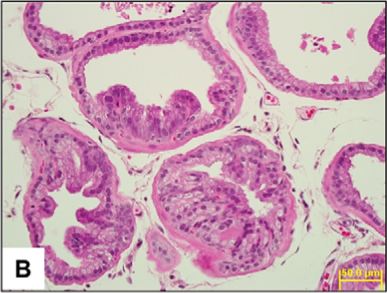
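Prostate glands lined by columnar epithelial cells with basal to mid-level purple nuclei and pale pink cytoplasm. In several glands the lining rises into papillary folds that project into the lumen, and nuclei crowd and overlap in parts, so the lumina become star-shaped or narrowed. Other glands keep a simpler, single-layered lining around an open lumen with scattered pale secretion. Thin strands of loose connective tissue with small vessels separate the glands. The localized folding and crowding of the epithelium, less extensive than a full filling of the lumen, fits a mild hyperplasia.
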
